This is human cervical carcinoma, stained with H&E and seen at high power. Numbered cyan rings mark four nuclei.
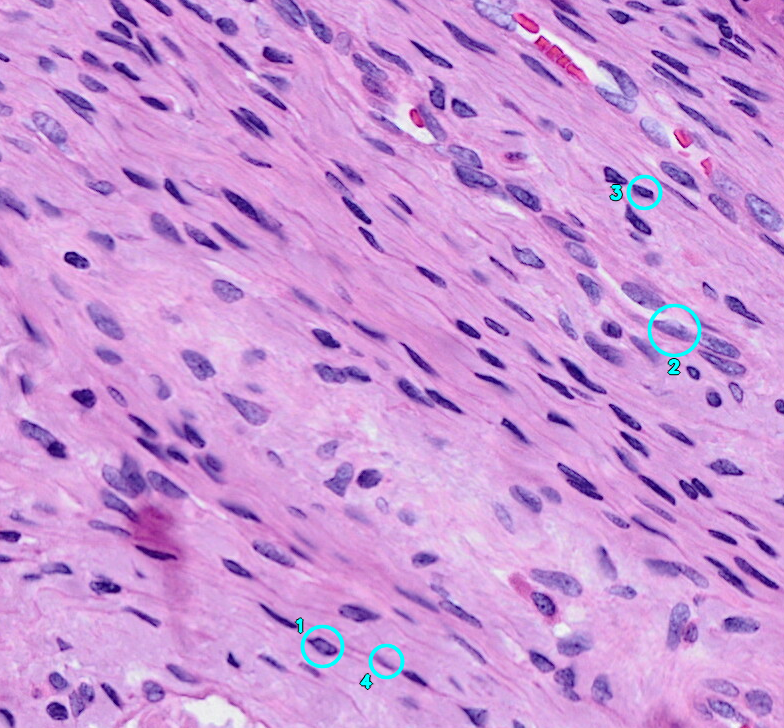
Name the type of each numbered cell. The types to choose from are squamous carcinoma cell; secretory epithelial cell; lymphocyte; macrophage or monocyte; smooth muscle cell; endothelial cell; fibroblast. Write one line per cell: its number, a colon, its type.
1: fibroblast
2: endothelial cell
3: fibroblast
4: fibroblast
